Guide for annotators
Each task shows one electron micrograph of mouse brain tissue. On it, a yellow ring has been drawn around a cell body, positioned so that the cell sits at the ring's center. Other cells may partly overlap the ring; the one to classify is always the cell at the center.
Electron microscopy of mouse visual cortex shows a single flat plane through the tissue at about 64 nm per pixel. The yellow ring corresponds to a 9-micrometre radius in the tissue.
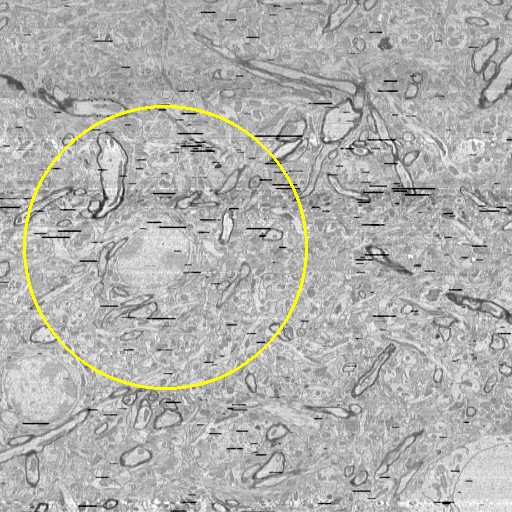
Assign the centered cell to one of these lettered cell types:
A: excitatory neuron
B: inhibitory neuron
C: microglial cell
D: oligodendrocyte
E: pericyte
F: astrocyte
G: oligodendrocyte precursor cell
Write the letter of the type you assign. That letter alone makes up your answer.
F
